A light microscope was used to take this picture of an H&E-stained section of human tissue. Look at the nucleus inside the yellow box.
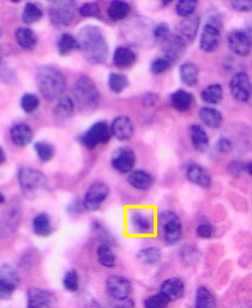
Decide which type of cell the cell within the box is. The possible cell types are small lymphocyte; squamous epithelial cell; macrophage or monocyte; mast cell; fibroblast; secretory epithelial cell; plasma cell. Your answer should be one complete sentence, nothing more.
The expected answer is simply that the cell within the box is a plasma cell.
